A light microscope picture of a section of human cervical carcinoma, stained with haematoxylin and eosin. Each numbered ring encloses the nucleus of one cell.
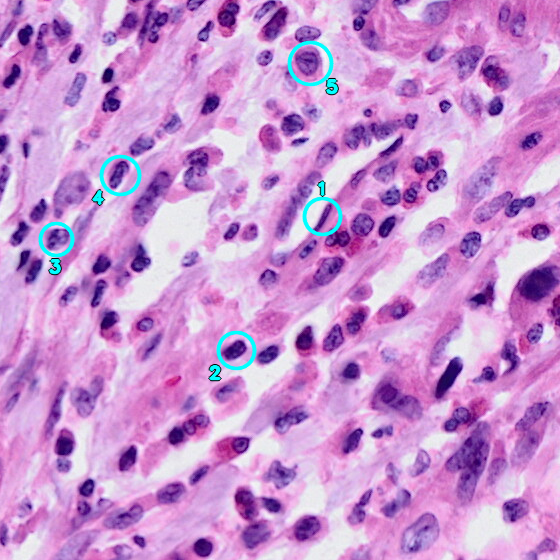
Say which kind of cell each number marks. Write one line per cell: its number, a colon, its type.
1: endothelial cell
2: lymphocyte
3: lymphocyte
4: lymphocyte
5: macrophage or monocyte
